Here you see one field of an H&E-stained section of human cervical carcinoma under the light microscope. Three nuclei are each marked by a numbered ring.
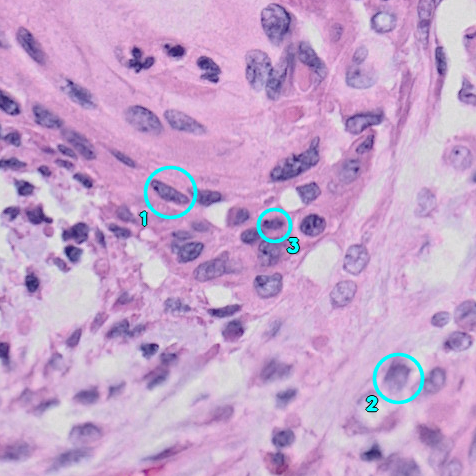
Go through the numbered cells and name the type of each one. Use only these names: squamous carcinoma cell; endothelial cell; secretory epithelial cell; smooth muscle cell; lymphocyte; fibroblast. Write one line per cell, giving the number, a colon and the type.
1: squamous carcinoma cell
2: fibroblast
3: squamous carcinoma cell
